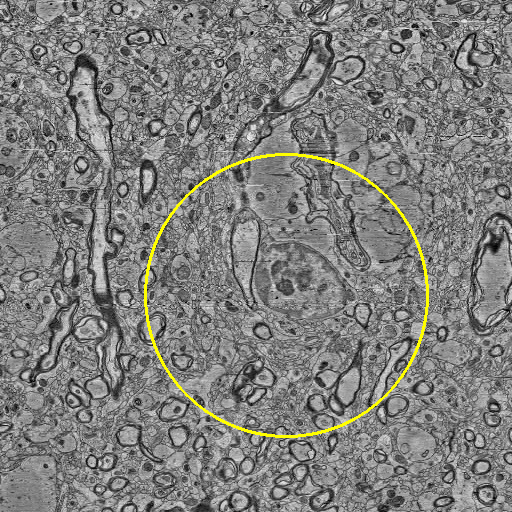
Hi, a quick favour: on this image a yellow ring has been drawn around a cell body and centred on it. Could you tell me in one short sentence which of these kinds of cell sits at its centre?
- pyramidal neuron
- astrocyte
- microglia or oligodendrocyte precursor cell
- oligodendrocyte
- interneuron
The ring is centred on an oligodendrocyte.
